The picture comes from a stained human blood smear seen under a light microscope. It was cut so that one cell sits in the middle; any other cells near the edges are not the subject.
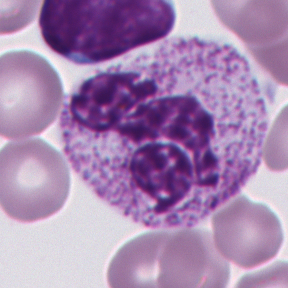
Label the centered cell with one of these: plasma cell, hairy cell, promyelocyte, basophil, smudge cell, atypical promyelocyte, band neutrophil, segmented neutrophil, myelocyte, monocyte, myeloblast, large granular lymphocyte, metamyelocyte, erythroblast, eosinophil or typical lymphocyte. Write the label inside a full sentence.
The target cell in the middle of the crop is a segmented neutrophil.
